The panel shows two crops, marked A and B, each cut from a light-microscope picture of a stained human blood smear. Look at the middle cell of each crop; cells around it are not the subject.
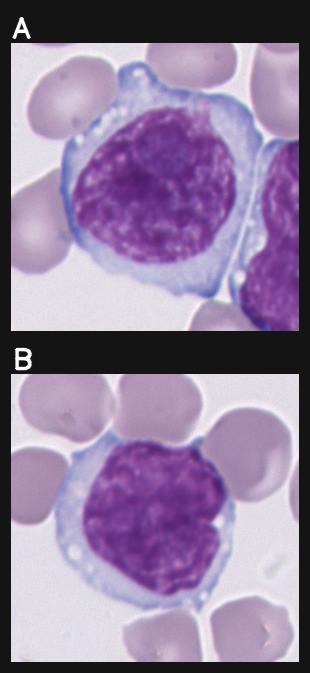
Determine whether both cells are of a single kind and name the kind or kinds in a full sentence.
Yes, the cells in both crops are myeloblasts.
